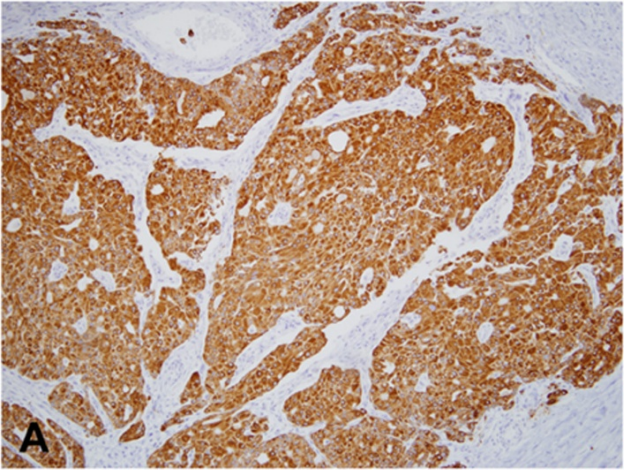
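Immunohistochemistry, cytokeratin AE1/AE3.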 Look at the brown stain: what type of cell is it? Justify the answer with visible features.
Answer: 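Large nests of closely packed cells are stained brown throughout their cytoplasm. The pale blue fibrous bands between the nests stay unstained. Small gland-like spaces lie within the stained nests. That points to this answer: tumor cells.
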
